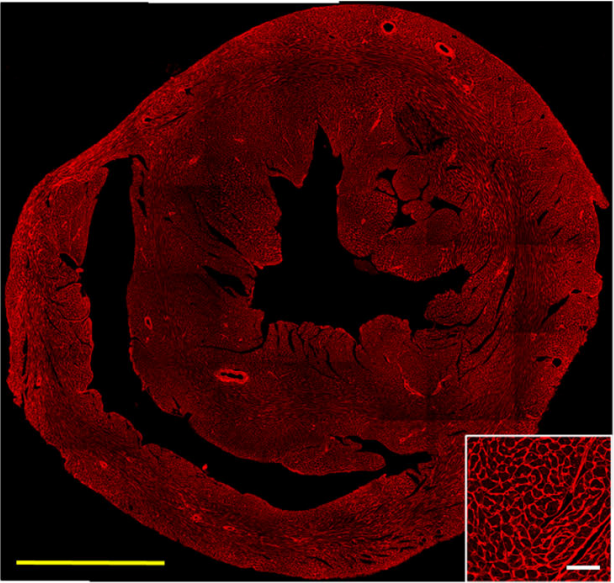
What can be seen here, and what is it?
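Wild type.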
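At low power a thick muscular wall surrounds a large, irregular central chamber whose inner surface is ridged, and a thinner-walled crescent-shaped chamber lies along one side. Small round vessel profiles with brighter red rims are scattered through the wall. The inset shows the muscle cells cut across as closely packed polygonal profiles, each ringed by a red outline with dark interiors.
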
